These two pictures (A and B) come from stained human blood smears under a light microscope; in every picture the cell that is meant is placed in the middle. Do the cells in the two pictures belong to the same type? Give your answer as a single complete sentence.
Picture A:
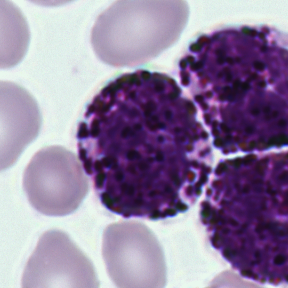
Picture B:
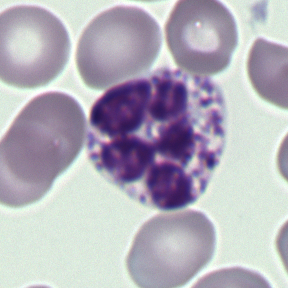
Yes, the two pictures both show basophils.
